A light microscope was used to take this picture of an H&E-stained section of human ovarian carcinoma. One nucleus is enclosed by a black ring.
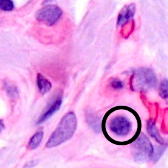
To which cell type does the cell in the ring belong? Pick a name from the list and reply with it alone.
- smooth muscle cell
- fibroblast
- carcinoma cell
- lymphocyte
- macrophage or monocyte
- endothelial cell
lymphocyte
